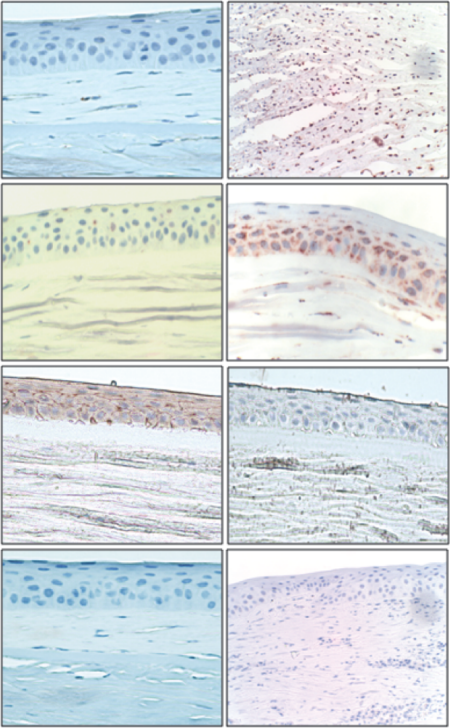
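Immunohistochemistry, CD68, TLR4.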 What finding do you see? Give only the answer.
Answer: Corneal stromal infiltration.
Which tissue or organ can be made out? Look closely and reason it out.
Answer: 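The layer sits on a paler, lamellar stroma with sparse flattened nuclei. On this evidence: corneal epithelium.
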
